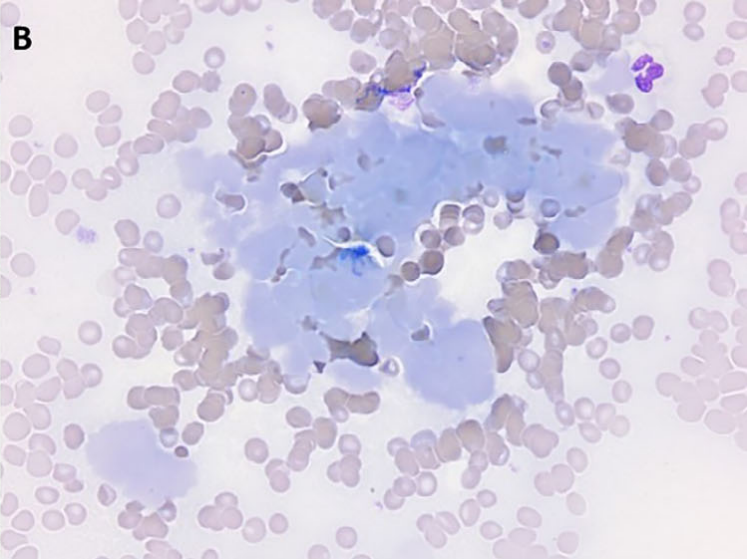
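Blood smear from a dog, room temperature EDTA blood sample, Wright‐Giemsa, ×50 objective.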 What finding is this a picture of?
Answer: aggregates of amorphous basophilic material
